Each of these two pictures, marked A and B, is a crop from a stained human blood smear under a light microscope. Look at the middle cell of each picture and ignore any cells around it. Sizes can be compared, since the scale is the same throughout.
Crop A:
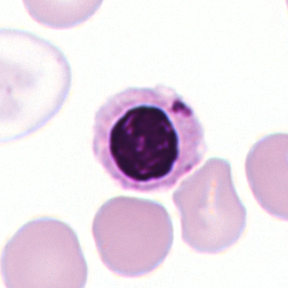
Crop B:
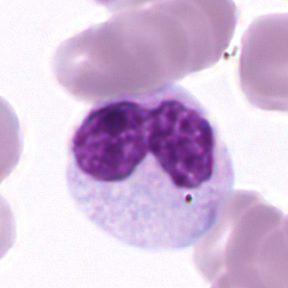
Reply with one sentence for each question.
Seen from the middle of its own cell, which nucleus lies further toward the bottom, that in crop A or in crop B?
Seen within its cell, the nucleus in crop A lies further toward the bottom.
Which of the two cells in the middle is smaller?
The cell in crop A is smaller; the one in crop B has about 2.5 times its area.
